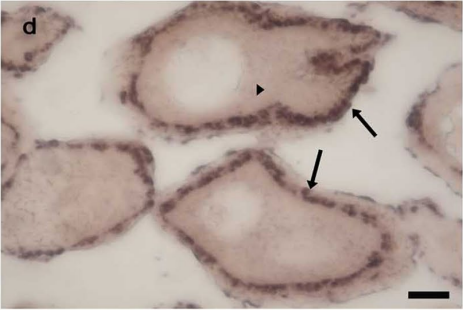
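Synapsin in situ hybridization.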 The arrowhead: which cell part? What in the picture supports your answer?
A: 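The arrowhead lies in the faintly stained body of a large cell, inside its dark rim.
Oocyte cytoplasm.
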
